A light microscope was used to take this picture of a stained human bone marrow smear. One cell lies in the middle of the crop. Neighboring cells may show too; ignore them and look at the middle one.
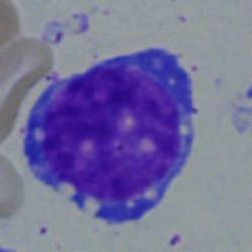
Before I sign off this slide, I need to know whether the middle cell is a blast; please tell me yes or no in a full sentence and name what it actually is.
Yes, the cell in the middle has the identity of a blast.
